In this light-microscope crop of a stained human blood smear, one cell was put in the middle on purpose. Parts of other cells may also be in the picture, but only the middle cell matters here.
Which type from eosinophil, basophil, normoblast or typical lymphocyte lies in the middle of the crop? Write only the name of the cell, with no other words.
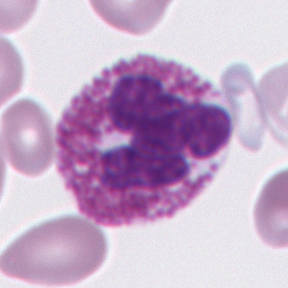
eosinophil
